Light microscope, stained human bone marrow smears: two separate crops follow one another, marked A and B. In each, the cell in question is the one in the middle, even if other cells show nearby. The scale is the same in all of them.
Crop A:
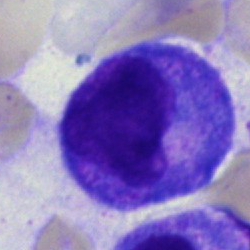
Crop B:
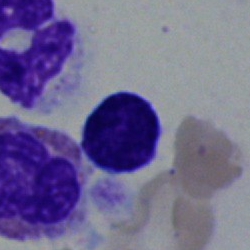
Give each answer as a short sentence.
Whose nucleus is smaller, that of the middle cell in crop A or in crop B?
Crop B shows the smaller nucleus, since that in crop A covers about 2.5 times as much area.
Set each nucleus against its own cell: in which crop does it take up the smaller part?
The nucleus fills less of the cell in crop A than in crop B.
